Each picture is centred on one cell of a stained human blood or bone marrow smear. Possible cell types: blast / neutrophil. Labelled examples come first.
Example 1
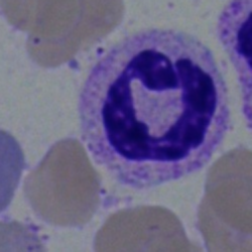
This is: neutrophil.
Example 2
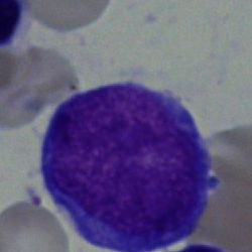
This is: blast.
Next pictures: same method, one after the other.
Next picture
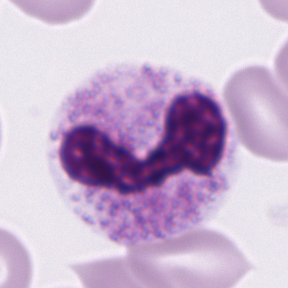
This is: neutrophil.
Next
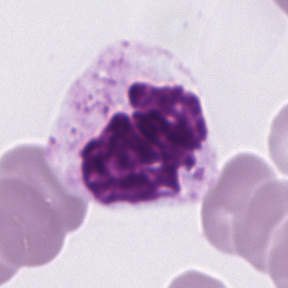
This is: neutrophil.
